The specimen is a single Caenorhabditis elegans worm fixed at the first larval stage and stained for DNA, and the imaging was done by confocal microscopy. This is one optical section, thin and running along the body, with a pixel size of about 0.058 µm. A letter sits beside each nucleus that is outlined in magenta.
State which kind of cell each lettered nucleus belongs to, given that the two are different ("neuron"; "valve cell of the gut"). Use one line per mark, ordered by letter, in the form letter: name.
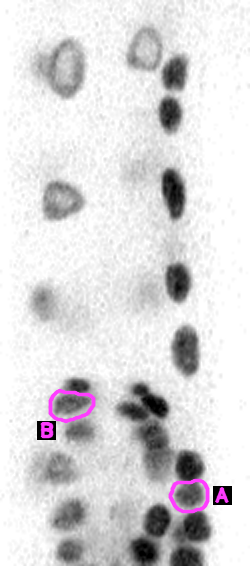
A: neuron
B: valve cell of the gut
